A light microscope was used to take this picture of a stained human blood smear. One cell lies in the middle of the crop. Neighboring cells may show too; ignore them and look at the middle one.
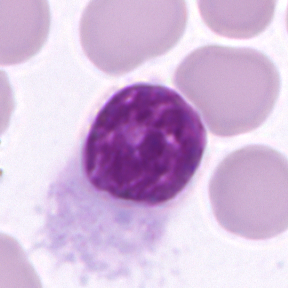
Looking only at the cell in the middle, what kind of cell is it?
plasma cell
